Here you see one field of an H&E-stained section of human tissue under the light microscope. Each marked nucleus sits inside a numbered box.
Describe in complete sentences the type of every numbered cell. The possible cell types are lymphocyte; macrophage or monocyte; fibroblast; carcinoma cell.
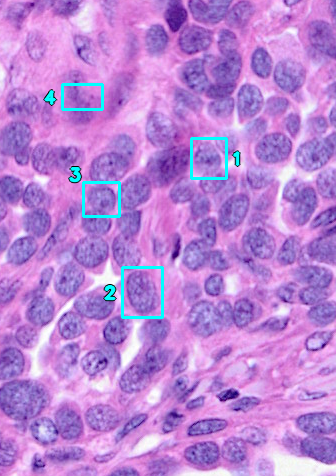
Cell 1 is a carcinoma cell, cell 2 is a carcinoma cell, cell 3 is a carcinoma cell and cell 4 is a fibroblast.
